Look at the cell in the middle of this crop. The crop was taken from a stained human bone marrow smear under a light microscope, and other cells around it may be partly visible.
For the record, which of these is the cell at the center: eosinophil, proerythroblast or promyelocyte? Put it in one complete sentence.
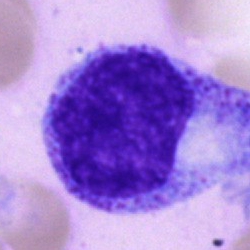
For this crop, the cell in the middle is a promyelocyte.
